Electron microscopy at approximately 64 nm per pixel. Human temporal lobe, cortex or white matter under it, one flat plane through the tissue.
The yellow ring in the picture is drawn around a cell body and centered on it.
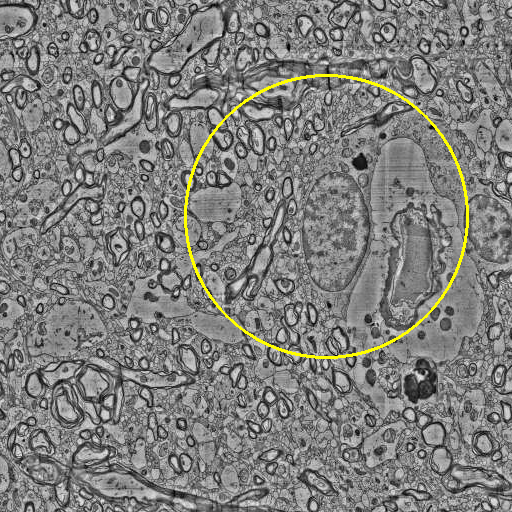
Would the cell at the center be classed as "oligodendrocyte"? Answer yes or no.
Yes, it belongs to that class.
